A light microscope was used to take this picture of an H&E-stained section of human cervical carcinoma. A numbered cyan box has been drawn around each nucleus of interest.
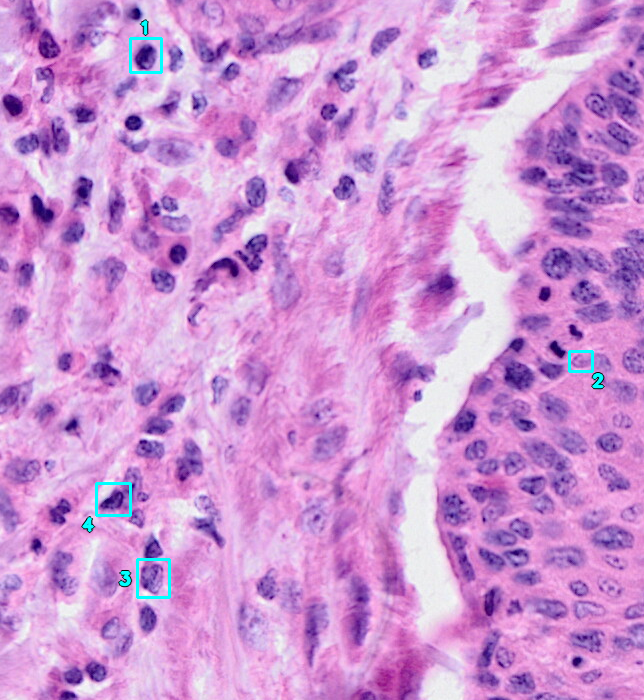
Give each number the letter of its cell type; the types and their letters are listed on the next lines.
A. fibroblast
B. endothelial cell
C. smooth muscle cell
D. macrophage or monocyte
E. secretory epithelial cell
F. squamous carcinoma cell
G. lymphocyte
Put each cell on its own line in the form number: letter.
1: G
2: F
3: G
4: G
